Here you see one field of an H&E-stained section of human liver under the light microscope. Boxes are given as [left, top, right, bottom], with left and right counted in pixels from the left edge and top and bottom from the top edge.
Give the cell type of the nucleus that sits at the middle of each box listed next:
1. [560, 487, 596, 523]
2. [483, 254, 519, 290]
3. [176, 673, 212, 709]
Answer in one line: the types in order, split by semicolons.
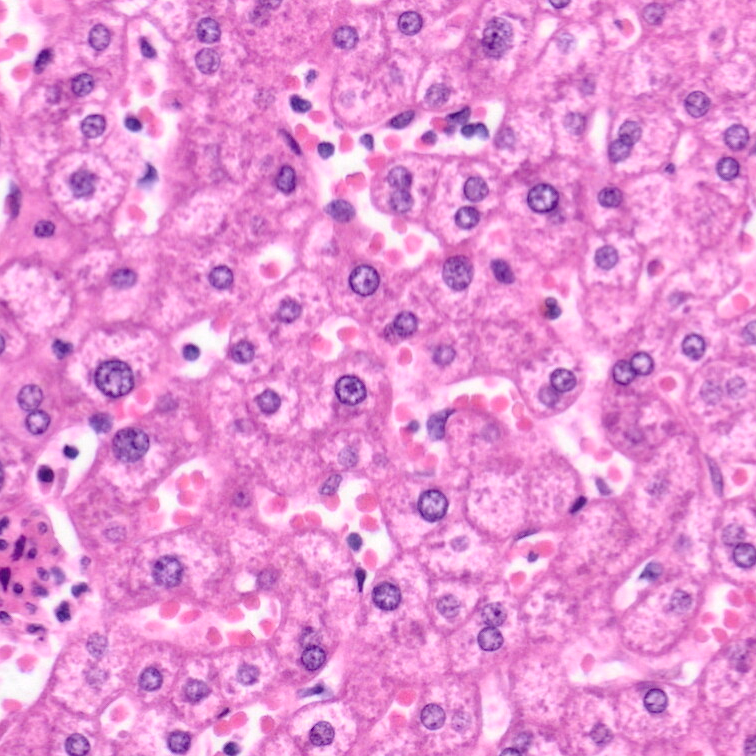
fibroblast or stellate cell; fibroblast or stellate cell; hepatocyte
